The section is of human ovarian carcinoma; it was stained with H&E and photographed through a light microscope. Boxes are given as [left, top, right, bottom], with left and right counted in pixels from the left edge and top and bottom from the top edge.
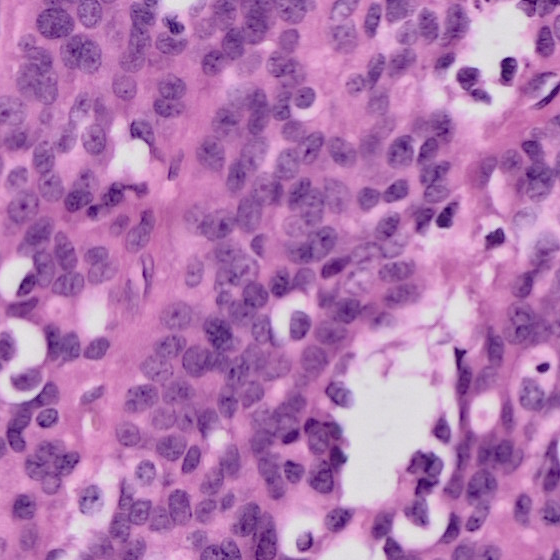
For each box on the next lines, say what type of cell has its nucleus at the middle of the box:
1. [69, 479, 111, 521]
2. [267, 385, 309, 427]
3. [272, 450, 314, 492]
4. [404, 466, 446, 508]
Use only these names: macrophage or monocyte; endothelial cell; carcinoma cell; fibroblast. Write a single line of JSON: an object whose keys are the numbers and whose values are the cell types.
{"1": "macrophage or monocyte", "2": "carcinoma cell", "3": "macrophage or monocyte", "4": "carcinoma cell"}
